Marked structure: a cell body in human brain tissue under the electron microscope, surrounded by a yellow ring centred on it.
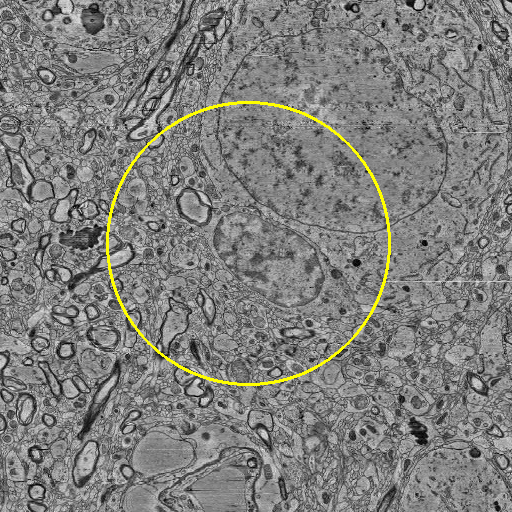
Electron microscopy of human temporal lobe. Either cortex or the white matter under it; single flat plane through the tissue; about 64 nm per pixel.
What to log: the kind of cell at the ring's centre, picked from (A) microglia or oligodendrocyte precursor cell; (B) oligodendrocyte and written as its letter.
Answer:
B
